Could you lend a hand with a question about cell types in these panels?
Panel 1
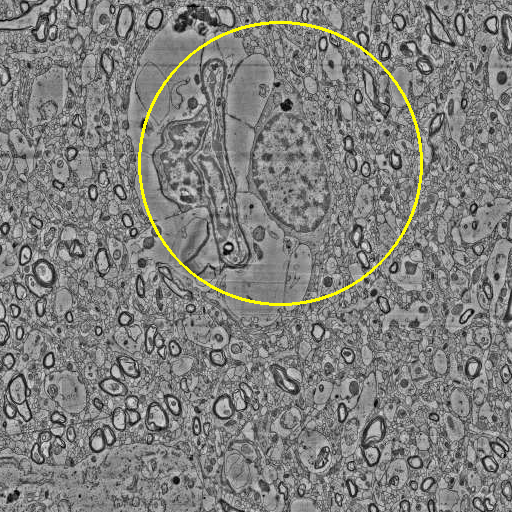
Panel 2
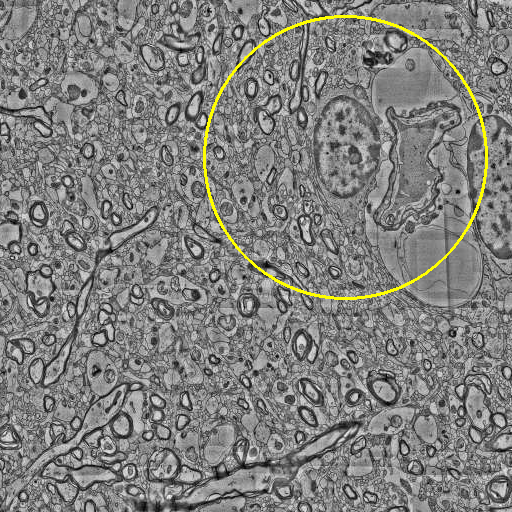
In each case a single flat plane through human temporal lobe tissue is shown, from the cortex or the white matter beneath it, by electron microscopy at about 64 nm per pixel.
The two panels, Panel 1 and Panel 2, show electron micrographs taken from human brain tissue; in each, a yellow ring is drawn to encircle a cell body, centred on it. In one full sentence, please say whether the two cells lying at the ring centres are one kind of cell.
Yes, the cells at the ring centres in the two panels are one kind of cell.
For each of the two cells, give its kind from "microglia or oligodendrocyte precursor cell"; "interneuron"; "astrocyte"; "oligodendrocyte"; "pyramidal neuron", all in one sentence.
In the first picture and in the second, the ring is centred on an oligodendrocyte.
